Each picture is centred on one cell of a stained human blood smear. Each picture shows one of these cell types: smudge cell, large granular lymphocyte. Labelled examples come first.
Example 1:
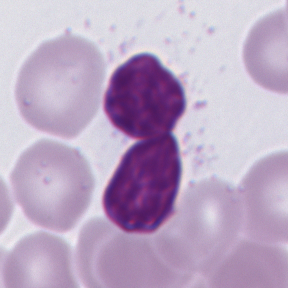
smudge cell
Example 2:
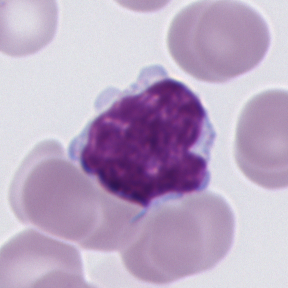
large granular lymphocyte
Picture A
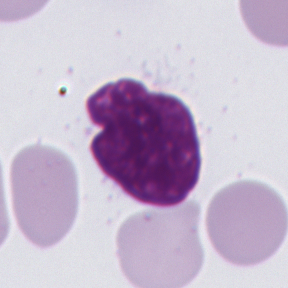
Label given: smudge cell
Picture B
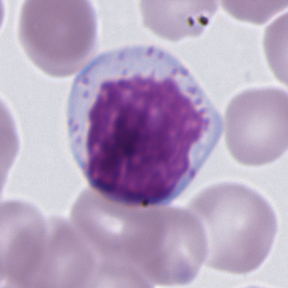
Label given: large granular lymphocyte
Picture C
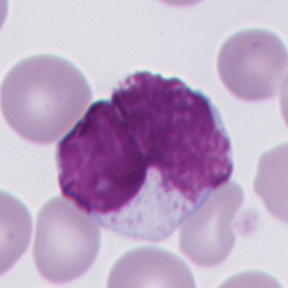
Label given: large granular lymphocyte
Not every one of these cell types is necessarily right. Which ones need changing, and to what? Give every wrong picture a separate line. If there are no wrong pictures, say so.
None of the labels needs changing.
